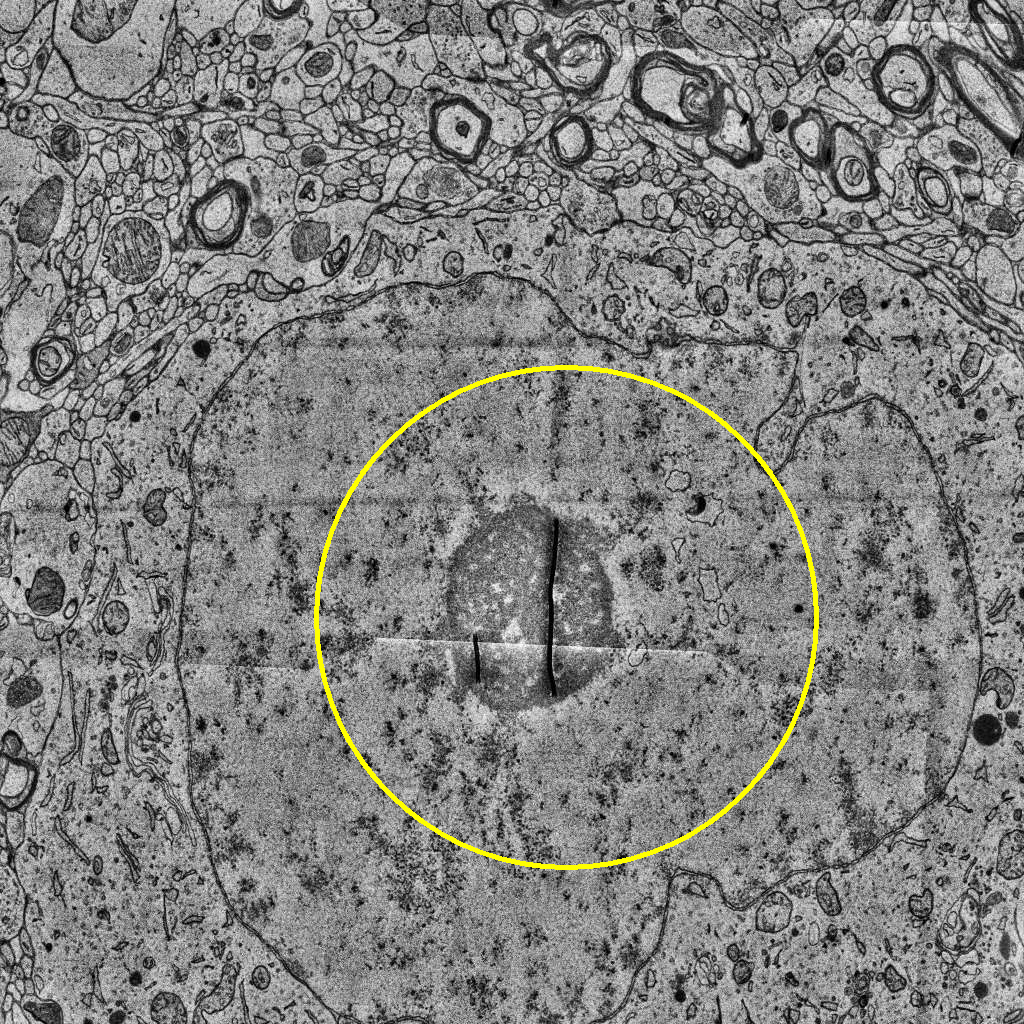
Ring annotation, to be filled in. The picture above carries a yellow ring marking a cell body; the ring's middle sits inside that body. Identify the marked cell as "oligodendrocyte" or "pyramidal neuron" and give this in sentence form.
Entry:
The cell at the middle of the ring is a pyramidal neuron.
